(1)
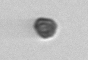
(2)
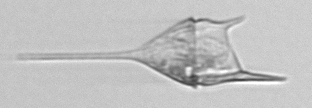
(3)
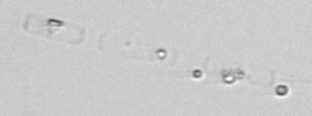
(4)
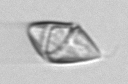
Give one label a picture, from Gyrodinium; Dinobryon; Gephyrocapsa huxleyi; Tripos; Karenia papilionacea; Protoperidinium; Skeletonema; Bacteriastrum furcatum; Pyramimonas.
Picture 1: Gephyrocapsa huxleyi
Picture 2: Tripos
Picture 3: Skeletonema
Picture 4: Gyrodinium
